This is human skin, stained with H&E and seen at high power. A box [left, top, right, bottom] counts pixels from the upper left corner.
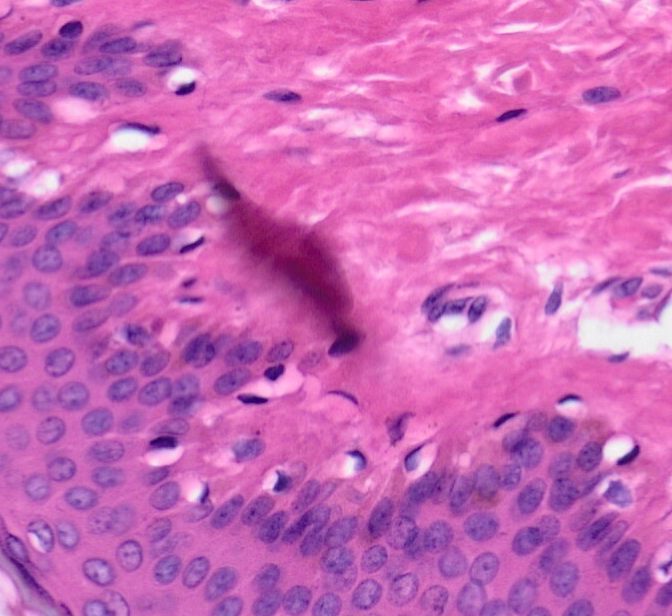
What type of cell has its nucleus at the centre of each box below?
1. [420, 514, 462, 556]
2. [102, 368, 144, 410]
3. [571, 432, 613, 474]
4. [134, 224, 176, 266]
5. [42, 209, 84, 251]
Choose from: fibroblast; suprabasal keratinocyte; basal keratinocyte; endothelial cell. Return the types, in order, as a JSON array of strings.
["suprabasal keratinocyte", "suprabasal keratinocyte", "basal keratinocyte", "basal keratinocyte", "basal keratinocyte"]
